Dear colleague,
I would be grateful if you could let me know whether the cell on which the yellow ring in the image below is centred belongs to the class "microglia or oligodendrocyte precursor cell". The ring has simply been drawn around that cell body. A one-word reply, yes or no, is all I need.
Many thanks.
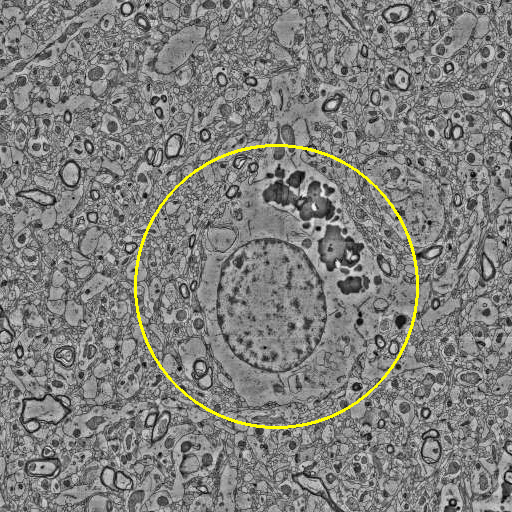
no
